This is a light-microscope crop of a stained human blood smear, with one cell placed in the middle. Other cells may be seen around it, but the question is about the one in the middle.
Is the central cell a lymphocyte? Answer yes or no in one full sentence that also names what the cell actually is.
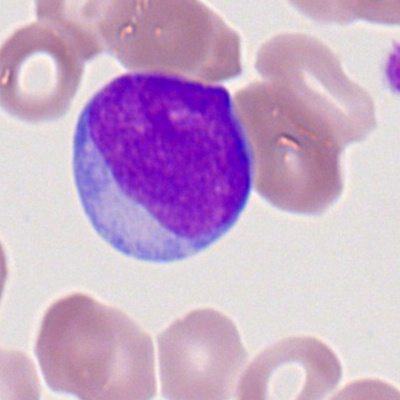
No, the centrally placed cell is a myeloblast, not a lymphocyte.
